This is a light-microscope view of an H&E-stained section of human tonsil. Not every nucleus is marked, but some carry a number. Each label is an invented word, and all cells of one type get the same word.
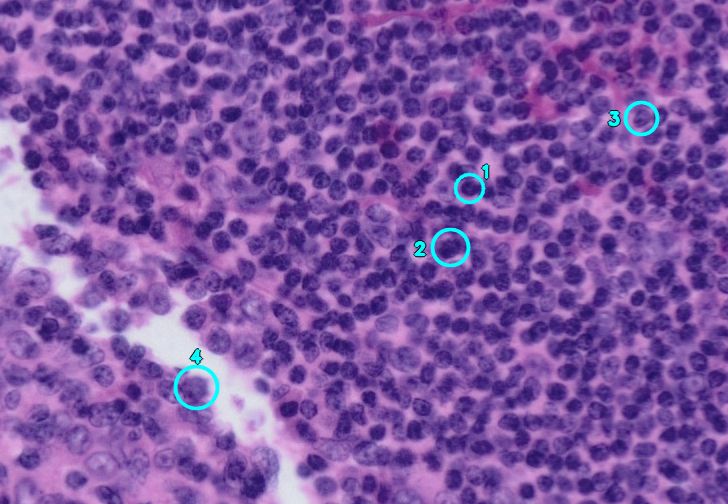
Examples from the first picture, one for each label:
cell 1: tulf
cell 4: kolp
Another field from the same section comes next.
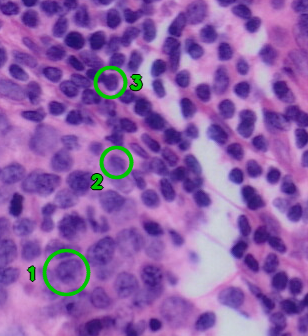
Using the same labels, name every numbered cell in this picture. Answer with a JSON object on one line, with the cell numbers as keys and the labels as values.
{"1": "kolp", "2": "kolp", "3": "tulf"}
